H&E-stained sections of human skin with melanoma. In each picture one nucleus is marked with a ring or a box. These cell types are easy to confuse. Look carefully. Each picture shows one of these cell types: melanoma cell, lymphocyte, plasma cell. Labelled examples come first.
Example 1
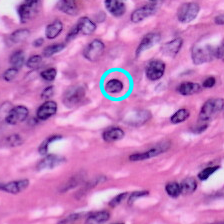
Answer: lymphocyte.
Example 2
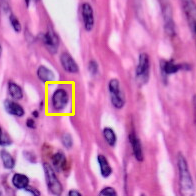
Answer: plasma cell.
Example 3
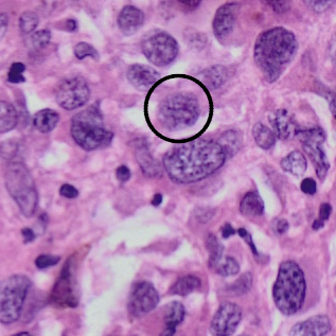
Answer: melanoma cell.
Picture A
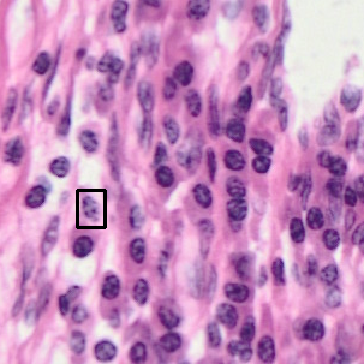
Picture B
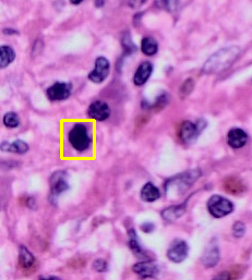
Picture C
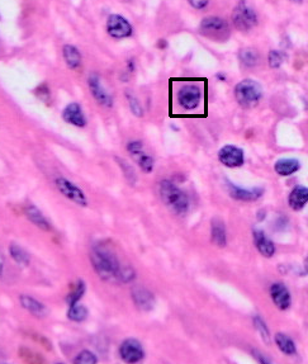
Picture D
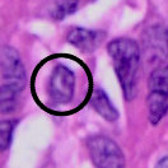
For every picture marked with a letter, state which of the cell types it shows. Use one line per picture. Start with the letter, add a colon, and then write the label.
A: plasma cell.
B: plasma cell.
C: plasma cell.
D: melanoma cell.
